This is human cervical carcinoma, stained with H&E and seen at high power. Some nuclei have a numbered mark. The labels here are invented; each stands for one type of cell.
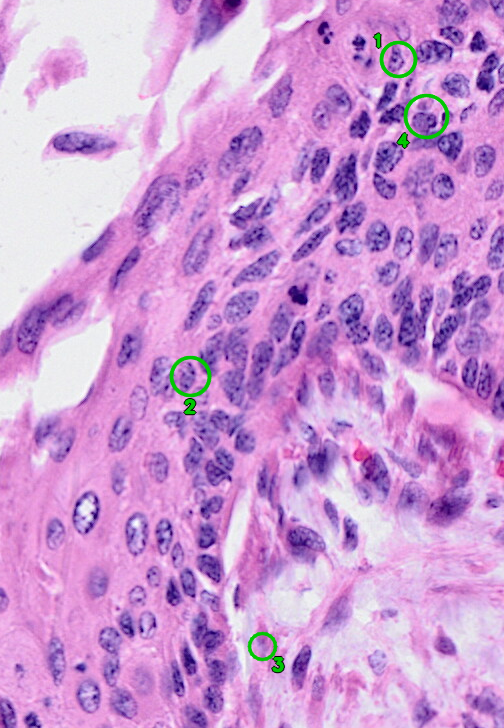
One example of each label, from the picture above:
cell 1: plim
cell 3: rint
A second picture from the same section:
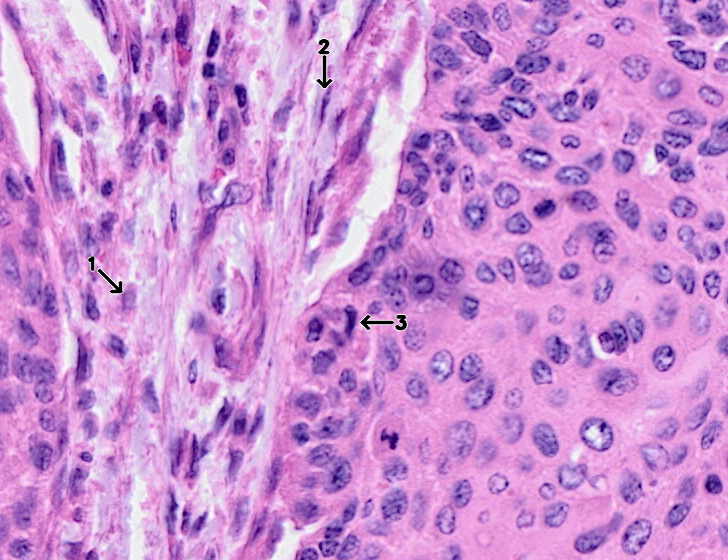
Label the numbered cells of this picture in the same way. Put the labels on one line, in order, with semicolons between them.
rint; rint; plim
